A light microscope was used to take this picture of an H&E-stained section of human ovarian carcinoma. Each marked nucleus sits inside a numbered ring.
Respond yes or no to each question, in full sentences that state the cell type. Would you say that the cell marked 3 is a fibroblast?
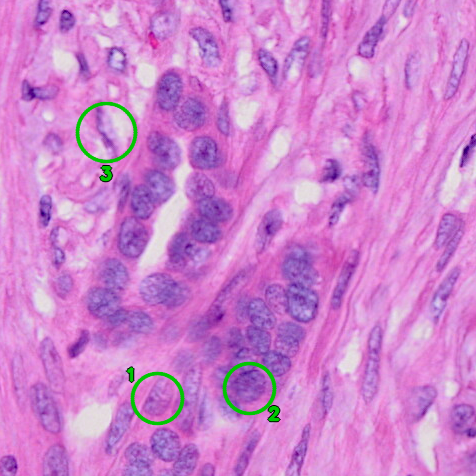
Yes, the cell indicated by number 3 is a fibroblast.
